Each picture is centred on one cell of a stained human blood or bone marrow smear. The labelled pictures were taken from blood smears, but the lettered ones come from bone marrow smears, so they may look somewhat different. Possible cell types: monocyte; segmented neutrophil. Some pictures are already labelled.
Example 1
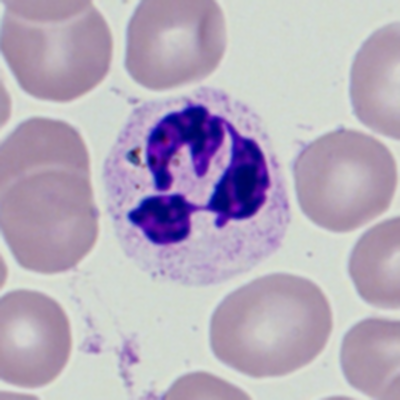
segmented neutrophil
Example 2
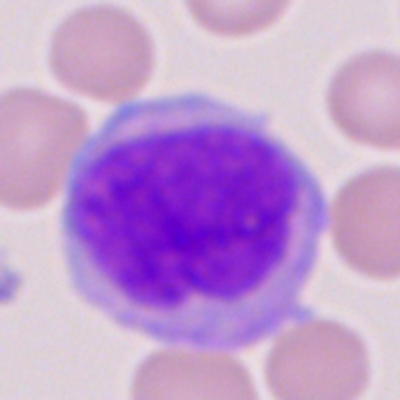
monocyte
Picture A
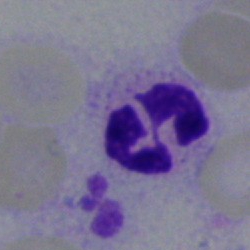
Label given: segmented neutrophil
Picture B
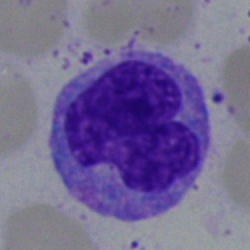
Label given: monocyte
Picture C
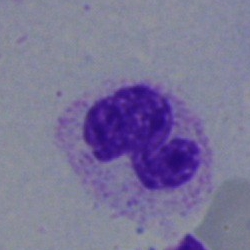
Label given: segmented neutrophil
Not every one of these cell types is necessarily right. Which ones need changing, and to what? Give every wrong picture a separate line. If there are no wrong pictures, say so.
All labels are correct.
